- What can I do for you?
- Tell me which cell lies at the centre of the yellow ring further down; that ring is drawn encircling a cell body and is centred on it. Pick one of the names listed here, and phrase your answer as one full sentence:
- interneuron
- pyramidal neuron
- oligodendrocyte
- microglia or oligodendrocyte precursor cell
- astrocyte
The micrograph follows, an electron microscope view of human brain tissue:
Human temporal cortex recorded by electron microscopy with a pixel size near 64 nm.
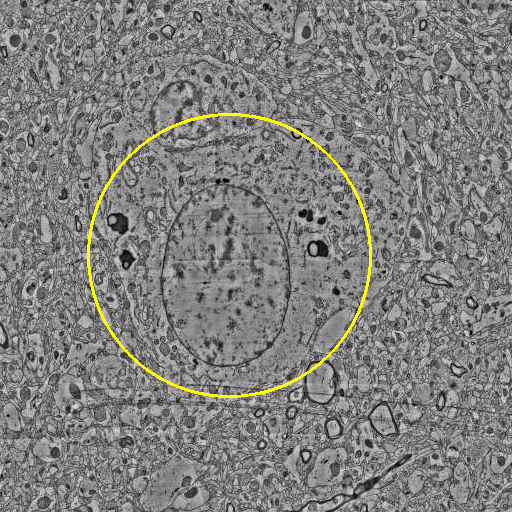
The cell whose body lies at the centre of the yellow ring is a pyramidal neuron.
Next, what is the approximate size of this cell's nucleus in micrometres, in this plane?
The ringed cell's nucleus is about 12 micrometres long and 8 micrometres wide in this plane.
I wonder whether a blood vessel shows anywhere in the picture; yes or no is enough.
No.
